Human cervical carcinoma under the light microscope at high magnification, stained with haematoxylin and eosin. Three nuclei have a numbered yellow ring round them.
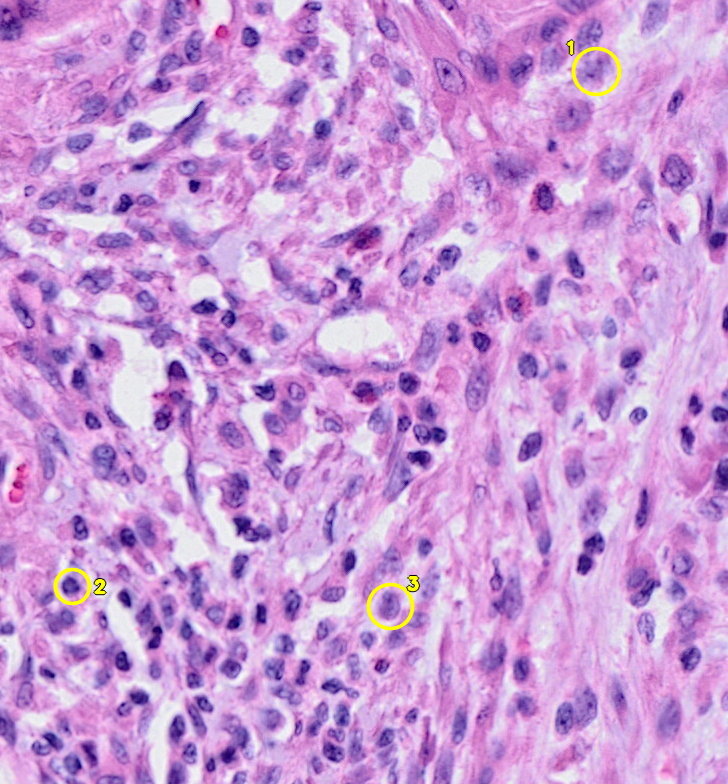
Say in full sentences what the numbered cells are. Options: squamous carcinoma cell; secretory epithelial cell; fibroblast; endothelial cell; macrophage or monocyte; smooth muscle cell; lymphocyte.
Cell 1 is a fibroblast. Cell 2 is a lymphocyte. Cell 3 is a macrophage or monocyte.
